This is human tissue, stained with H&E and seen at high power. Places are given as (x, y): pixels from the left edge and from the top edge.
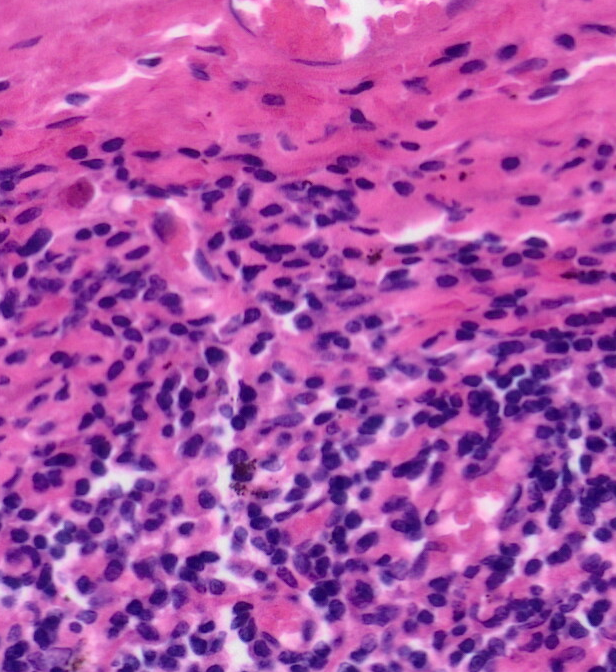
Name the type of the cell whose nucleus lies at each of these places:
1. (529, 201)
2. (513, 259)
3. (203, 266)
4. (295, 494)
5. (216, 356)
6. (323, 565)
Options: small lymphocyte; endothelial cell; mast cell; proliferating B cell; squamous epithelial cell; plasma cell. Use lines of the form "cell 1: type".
cell 1: mast cell
cell 2: plasma cell
cell 3: endothelial cell
cell 4: small lymphocyte
cell 5: plasma cell
cell 6: small lymphocyte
